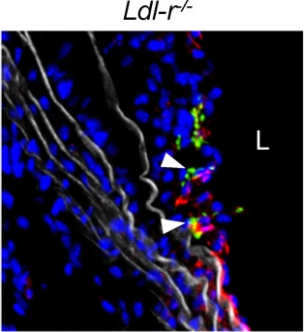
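Several wavy white elastic fibers run in parallel layers through the wall on the left, with elongated blue nuclei lying between them. Toward the lumen the tissue is looser with rounder nuclei, and an interrupted red lining borders the surface. Small green clumps and dots, without nuclei, sit at and just beneath this lining, some overlapping the red to appear yellow.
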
